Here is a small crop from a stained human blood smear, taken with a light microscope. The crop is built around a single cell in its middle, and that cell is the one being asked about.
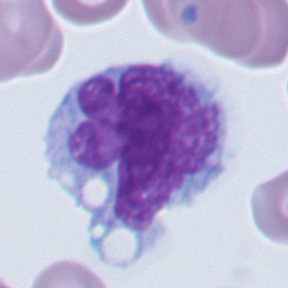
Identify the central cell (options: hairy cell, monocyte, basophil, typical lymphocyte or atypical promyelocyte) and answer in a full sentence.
The crop centres on a single cell, and that cell is a monocyte.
